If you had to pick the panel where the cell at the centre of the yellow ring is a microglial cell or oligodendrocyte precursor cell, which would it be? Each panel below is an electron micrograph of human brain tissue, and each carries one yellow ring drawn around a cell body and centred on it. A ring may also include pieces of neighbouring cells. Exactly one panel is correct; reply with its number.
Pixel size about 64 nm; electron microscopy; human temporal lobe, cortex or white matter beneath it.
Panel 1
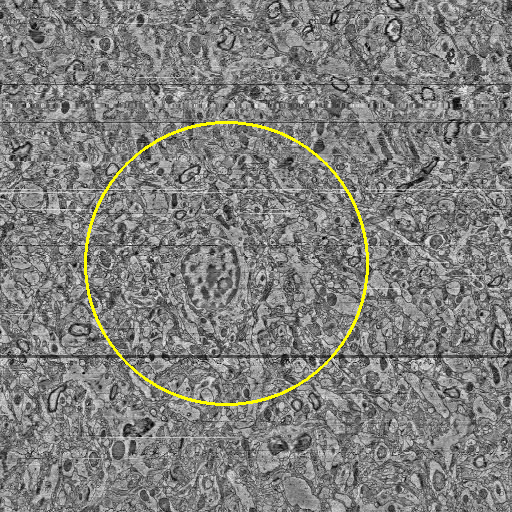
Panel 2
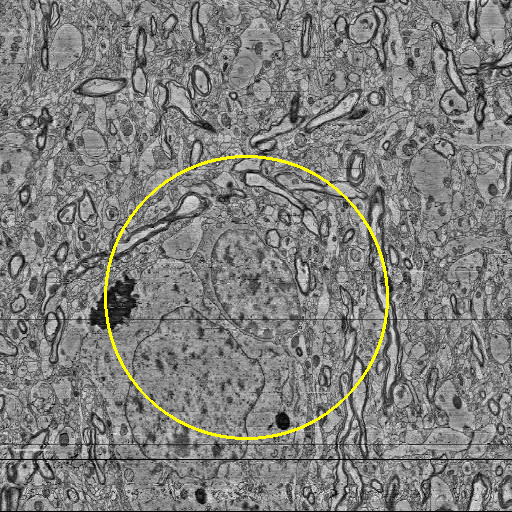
1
